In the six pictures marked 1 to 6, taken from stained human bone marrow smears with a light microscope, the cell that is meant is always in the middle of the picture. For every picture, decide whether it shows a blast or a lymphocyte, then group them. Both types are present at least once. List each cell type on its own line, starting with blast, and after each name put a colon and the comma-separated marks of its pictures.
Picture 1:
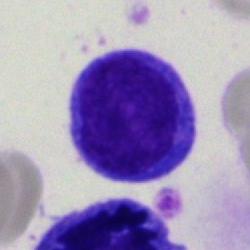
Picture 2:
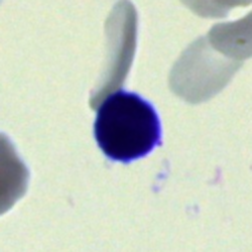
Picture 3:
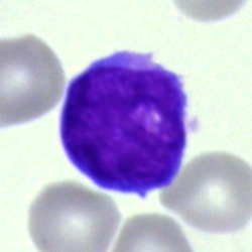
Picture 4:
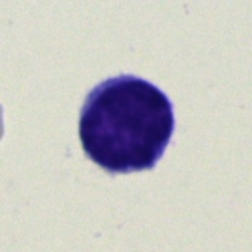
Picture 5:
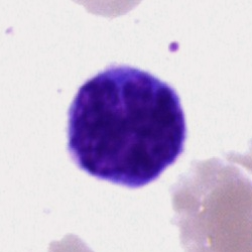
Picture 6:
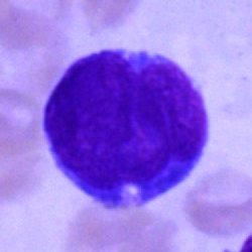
blast: 3, 6
lymphocyte: 1, 2, 4, 5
